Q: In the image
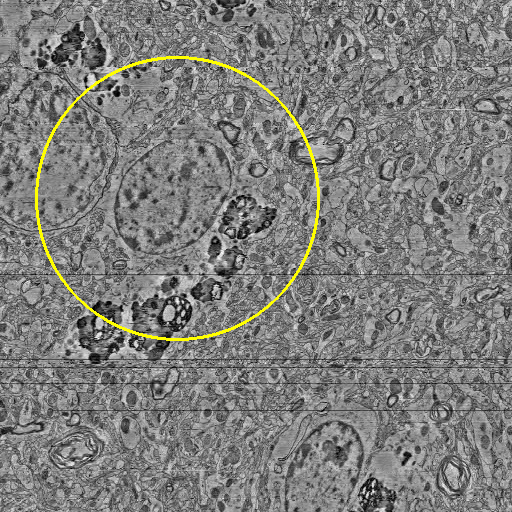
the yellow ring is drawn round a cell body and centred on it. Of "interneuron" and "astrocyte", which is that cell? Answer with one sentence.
The cell centred in the ring is an astrocyte.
